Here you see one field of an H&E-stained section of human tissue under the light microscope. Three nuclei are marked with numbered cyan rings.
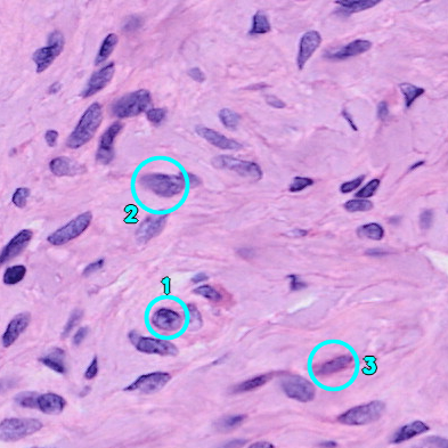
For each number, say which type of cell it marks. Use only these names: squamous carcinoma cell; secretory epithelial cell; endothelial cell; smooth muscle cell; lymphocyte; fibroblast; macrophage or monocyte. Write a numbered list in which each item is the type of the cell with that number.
1. endothelial cell
2. fibroblast
3. smooth muscle cell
